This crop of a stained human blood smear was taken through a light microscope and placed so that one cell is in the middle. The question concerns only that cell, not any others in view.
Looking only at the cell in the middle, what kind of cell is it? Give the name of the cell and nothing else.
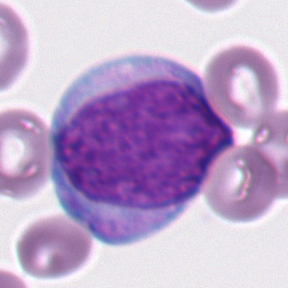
atypical promyelocyte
